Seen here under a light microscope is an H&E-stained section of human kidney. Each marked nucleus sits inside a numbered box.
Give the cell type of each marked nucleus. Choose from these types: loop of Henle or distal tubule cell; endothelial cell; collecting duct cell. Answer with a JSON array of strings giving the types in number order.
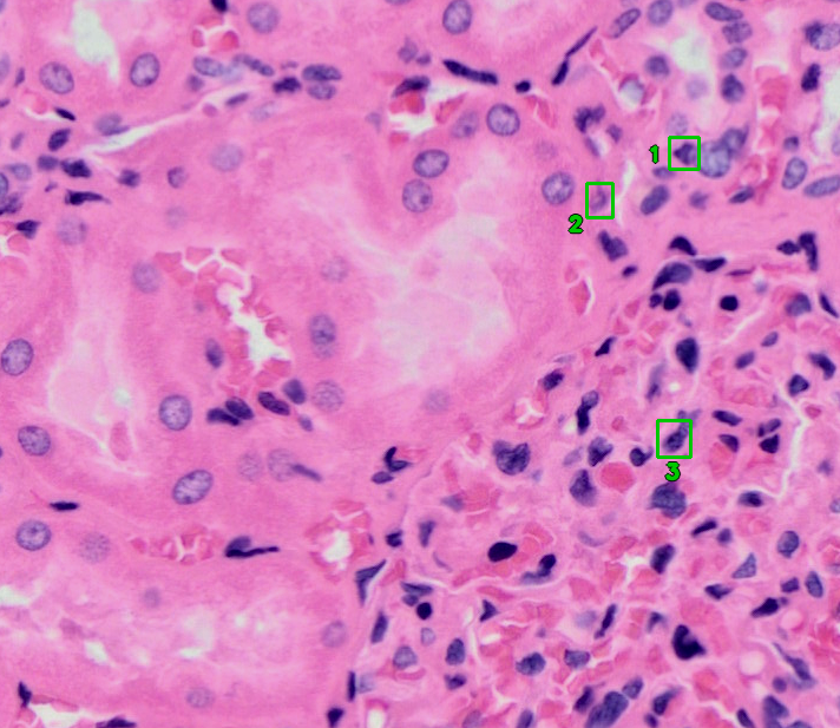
["collecting duct cell", "collecting duct cell", "endothelial cell"]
